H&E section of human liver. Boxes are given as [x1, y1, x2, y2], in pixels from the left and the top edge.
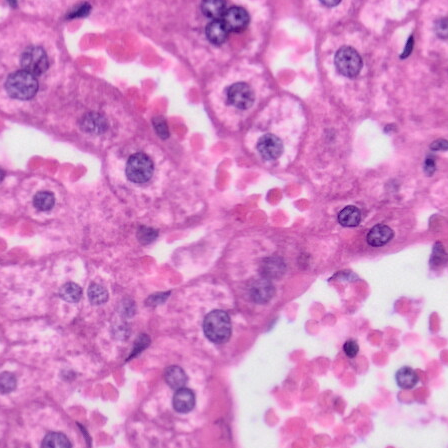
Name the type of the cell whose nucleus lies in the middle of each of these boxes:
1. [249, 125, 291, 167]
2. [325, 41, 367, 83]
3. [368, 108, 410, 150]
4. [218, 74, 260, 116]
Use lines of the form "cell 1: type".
cell 1: hepatocyte
cell 2: hepatocyte
cell 3: Kupffer cell
cell 4: hepatocyte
